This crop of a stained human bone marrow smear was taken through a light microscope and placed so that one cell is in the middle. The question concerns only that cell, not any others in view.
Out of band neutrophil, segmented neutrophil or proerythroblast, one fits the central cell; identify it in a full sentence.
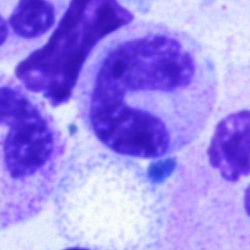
In the centre of this crop there is a band neutrophil.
